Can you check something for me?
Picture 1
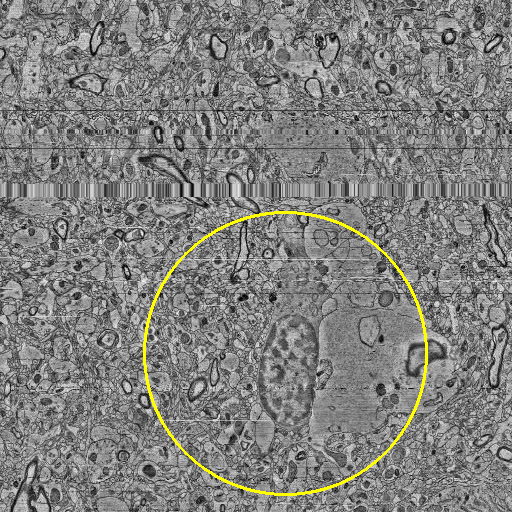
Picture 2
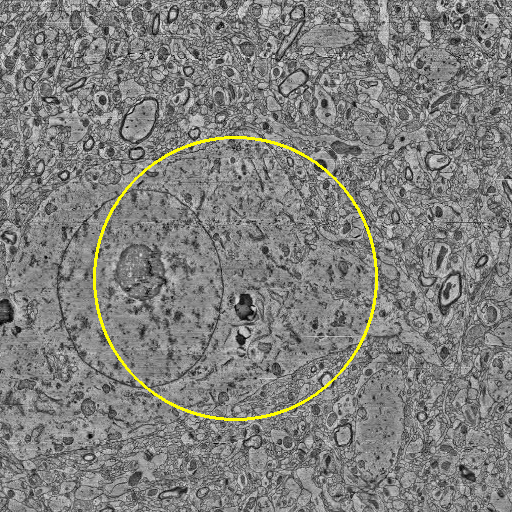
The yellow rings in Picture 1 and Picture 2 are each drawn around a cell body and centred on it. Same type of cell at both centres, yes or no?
no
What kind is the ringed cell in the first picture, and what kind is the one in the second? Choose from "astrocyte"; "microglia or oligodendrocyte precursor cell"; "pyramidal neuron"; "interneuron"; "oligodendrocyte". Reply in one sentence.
The first cell is an oligodendrocyte; the second is a pyramidal neuron.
